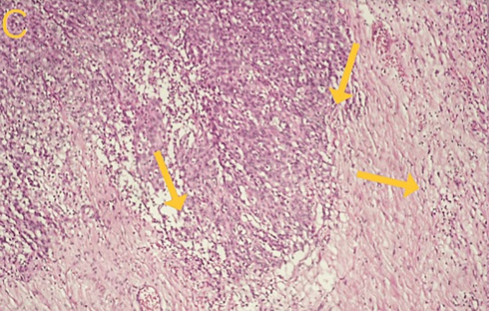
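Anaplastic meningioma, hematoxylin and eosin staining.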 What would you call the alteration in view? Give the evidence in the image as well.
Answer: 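A large area is densely packed with purple-staining nuclei. This crowded area contrasts with paler pink, less cellular fibrous areas to the right.
Conclusion: hypercellular regions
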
